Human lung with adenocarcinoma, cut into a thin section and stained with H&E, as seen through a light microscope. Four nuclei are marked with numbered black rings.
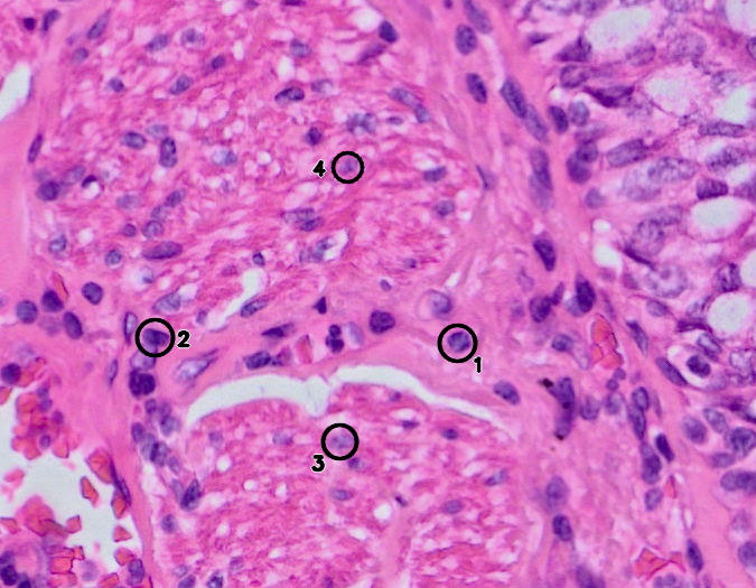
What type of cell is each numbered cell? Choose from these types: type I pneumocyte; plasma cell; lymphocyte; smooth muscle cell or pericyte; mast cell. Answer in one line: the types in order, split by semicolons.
mast cell; lymphocyte; smooth muscle cell or pericyte; smooth muscle cell or pericyte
